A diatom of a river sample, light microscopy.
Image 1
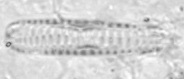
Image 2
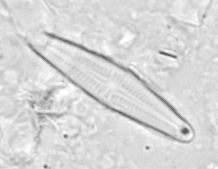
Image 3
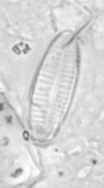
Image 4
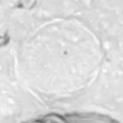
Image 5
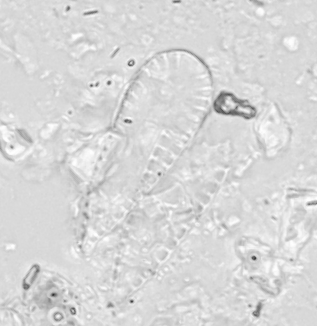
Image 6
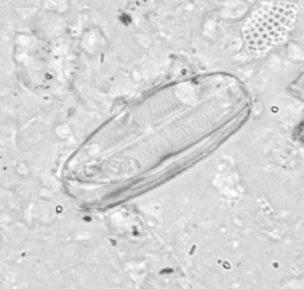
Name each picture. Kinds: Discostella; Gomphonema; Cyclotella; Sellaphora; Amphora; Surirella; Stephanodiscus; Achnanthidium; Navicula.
1. Gomphonema
2. Achnanthidium
3. Achnanthidium
4. Stephanodiscus
5. Surirella
6. Sellaphora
